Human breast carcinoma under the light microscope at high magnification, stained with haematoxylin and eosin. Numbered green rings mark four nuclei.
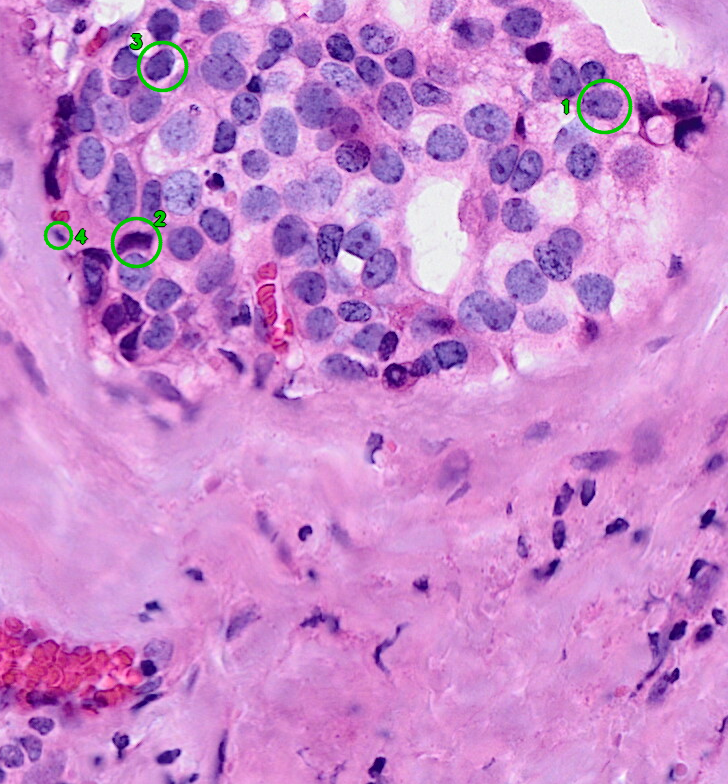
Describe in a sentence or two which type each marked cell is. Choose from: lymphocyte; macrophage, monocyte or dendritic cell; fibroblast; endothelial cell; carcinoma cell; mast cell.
Cells 1, 2 and 3 are carcinoma cells. Cell 4 is an endothelial cell.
